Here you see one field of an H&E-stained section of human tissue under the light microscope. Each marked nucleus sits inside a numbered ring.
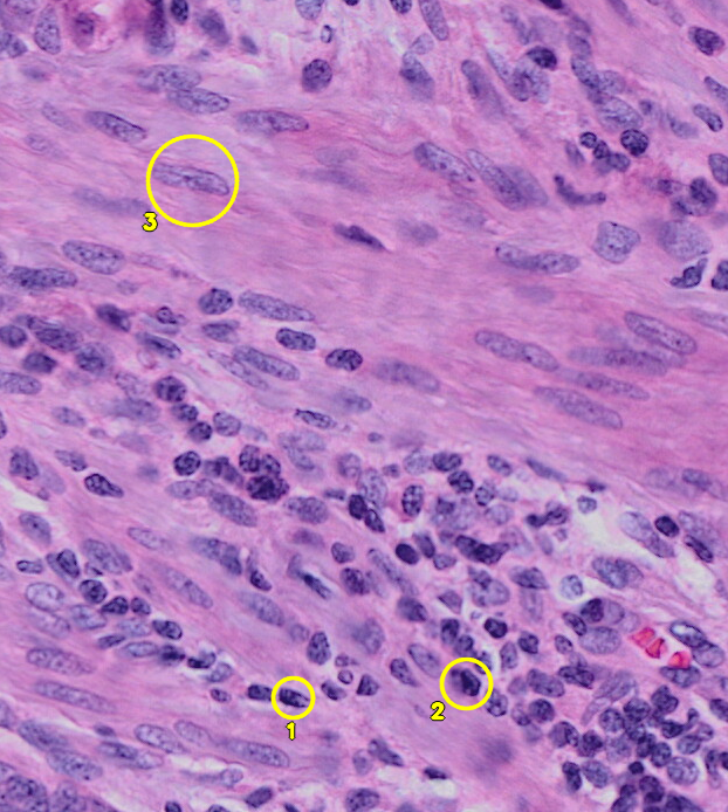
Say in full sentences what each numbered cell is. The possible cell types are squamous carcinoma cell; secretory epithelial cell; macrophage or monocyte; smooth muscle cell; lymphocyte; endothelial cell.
Cell 1 is a lymphocyte, cell 2 is a lymphocyte and cell 3 is a smooth muscle cell.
